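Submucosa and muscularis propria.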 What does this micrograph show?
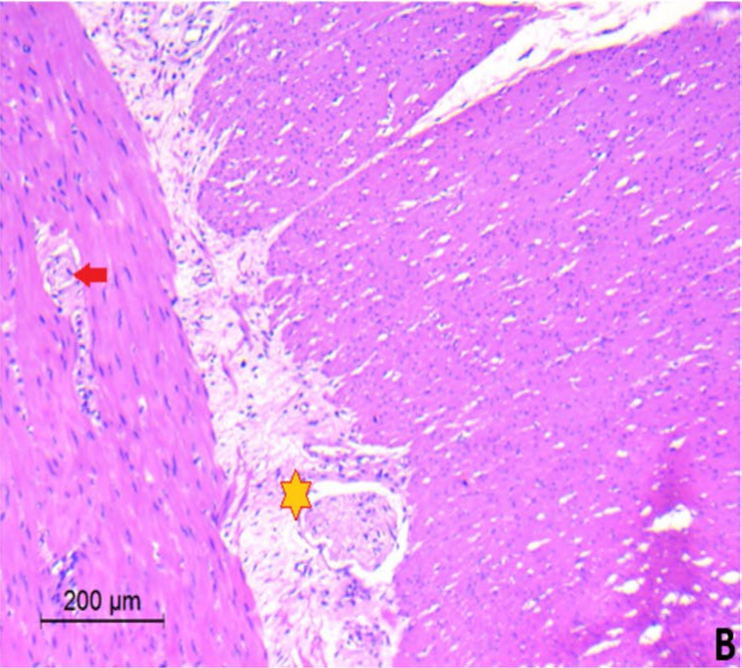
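This is the smooth muscle of the bowel wall, with thick pink bundles of muscle cut along and across their length. Between the bundles runs a pale septum of loose connective tissue holding small spindle-shaped nuclei. A narrow cleft within the muscle holds only small, thin nuclei, and no large rounded nerve cells with abundant cytoplasm can be found there.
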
